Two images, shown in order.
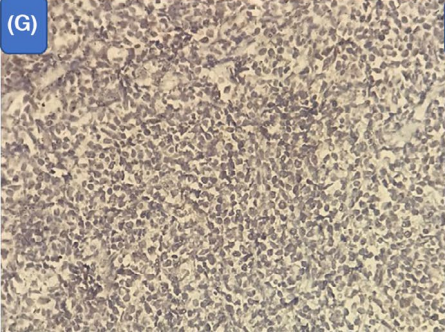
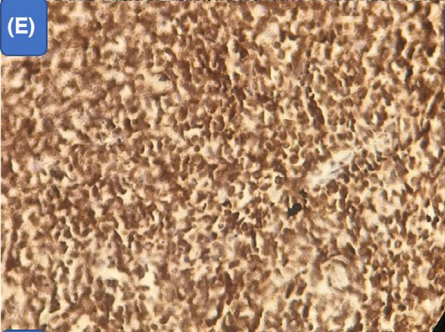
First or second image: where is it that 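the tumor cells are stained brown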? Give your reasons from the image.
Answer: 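First image: the densely packed cells show only pale blue-grey nuclei without brown colour. Second image: nearly all densely packed cells are coloured brown. So: the second image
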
